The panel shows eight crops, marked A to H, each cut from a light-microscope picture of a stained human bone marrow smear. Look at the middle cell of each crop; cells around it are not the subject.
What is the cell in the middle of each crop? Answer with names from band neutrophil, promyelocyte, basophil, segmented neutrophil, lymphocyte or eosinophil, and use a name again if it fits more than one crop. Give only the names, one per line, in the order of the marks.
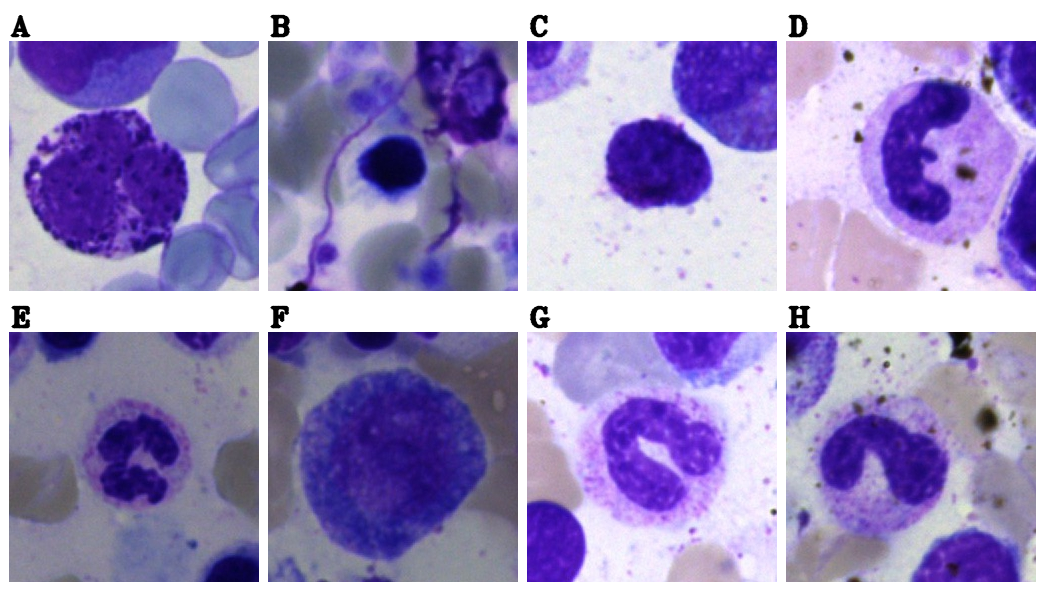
basophil
lymphocyte
basophil
band neutrophil
segmented neutrophil
promyelocyte
band neutrophil
band neutrophil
